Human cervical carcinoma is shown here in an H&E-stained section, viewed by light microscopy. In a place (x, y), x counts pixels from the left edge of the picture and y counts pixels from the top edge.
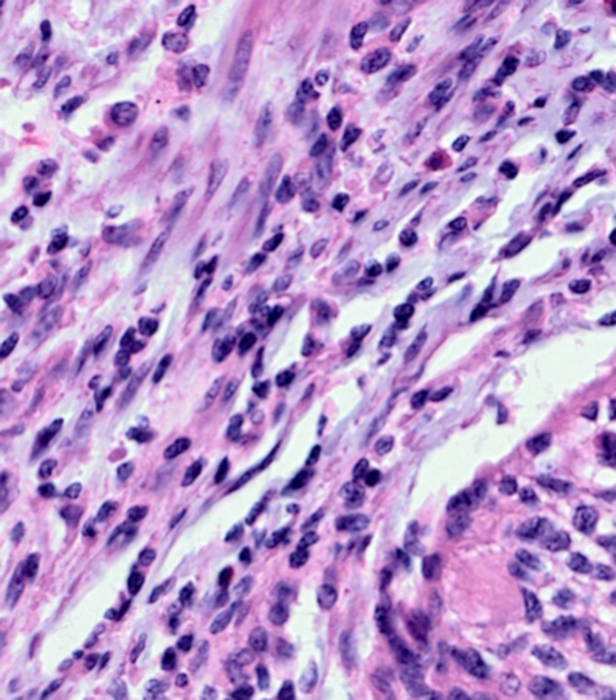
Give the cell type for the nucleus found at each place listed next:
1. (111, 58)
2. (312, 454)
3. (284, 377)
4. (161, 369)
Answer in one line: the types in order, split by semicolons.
fibroblast; lymphocyte; lymphocyte; lymphocyte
